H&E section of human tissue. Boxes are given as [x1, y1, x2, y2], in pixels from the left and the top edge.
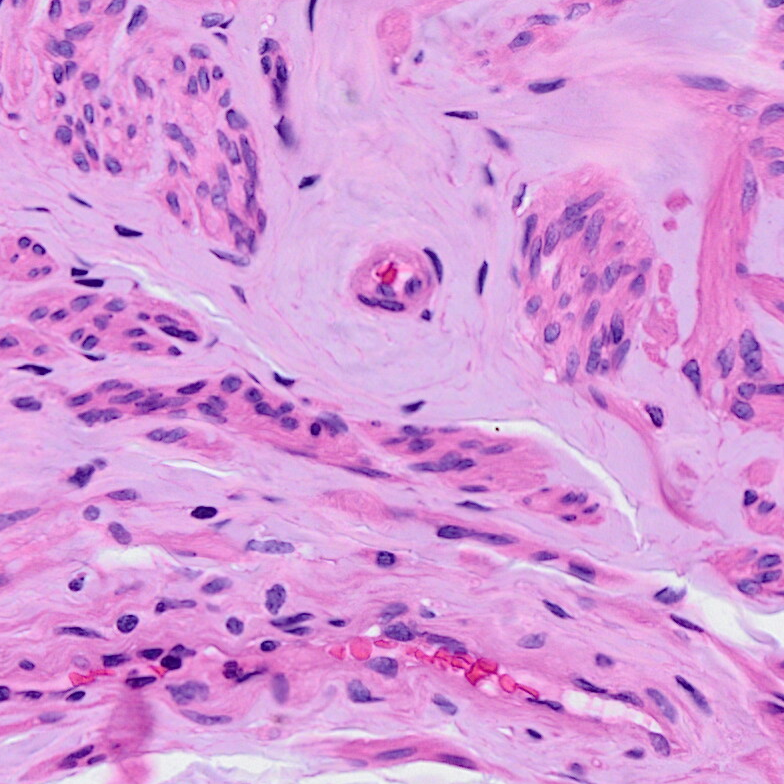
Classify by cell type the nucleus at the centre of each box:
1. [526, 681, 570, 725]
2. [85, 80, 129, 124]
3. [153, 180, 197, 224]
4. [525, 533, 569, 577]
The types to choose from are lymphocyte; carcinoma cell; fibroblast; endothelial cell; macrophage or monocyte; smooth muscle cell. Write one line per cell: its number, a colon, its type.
1: endothelial cell
2: smooth muscle cell
3: smooth muscle cell
4: smooth muscle cell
